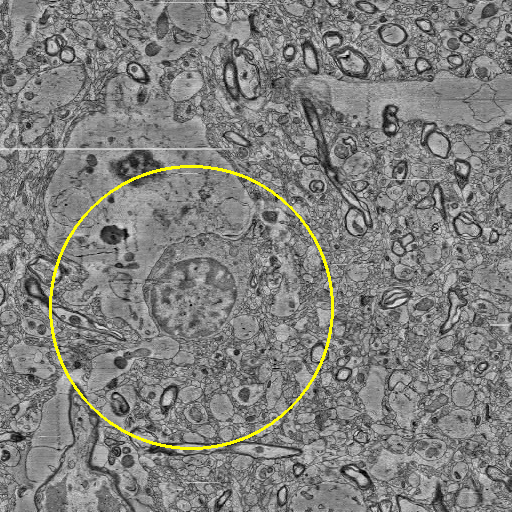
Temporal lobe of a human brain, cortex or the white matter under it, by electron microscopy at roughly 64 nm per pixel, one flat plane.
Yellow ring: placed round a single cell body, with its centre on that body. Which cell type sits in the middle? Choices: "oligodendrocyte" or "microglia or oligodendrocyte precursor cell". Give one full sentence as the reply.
It is an oligodendrocyte whose cell body sits at the centre of the yellow ring.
